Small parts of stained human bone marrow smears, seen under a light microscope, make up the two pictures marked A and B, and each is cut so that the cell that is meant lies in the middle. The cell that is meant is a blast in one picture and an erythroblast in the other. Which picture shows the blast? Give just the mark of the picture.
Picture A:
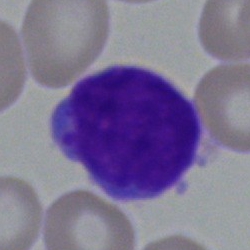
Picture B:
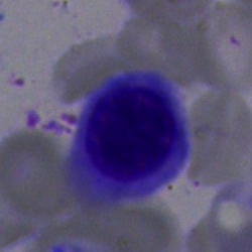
A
